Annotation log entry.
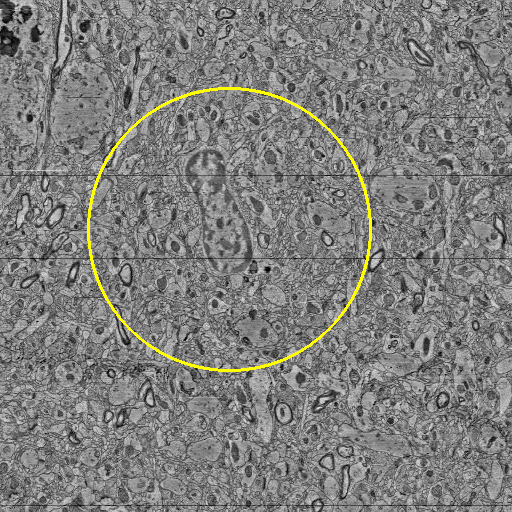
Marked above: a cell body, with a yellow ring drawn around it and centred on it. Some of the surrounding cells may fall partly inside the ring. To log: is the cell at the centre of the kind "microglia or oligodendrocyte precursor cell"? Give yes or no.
Yes, the cell at the centre is of that kind.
